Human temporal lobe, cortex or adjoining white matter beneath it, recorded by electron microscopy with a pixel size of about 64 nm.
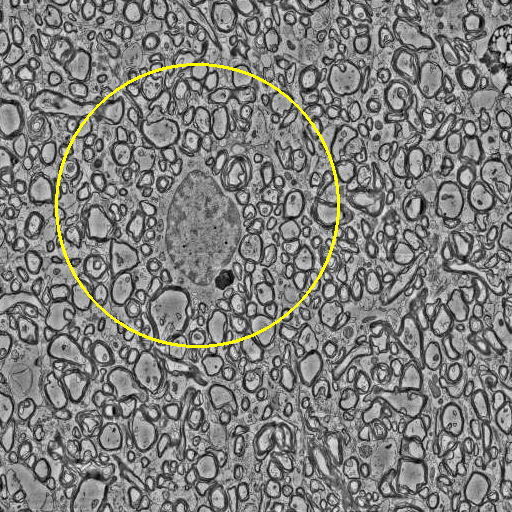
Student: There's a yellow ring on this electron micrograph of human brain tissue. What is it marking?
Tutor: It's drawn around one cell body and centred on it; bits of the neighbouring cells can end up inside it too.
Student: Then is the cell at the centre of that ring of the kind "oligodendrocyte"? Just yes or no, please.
yes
